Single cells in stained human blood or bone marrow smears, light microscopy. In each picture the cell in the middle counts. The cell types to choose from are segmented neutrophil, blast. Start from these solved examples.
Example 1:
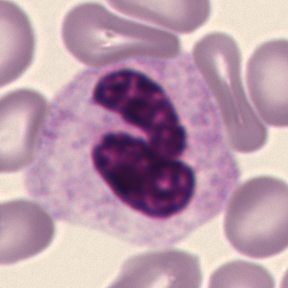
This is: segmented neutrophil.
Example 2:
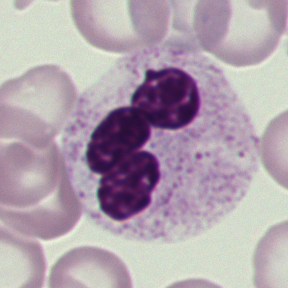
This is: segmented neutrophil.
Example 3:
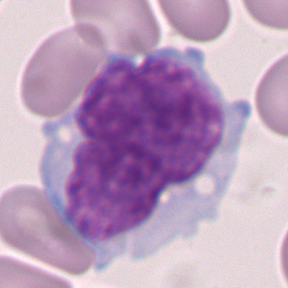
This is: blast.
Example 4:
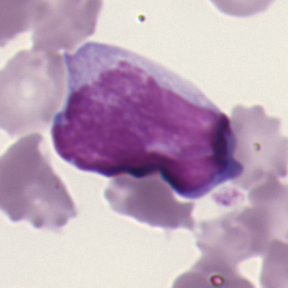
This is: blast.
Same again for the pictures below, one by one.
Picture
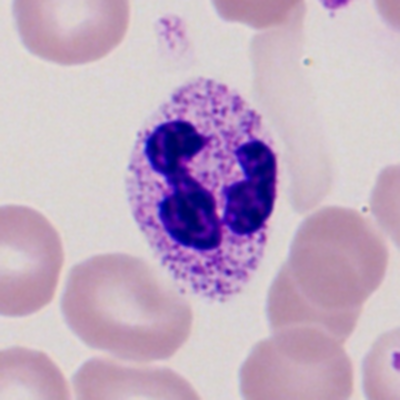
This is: segmented neutrophil.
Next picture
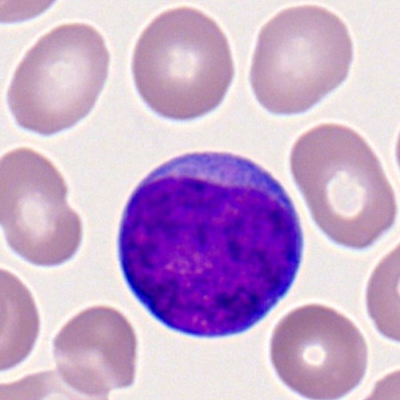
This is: blast.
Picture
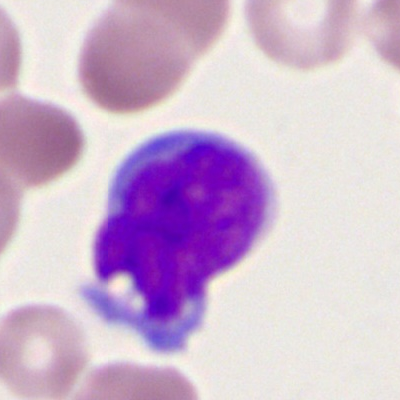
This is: blast.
